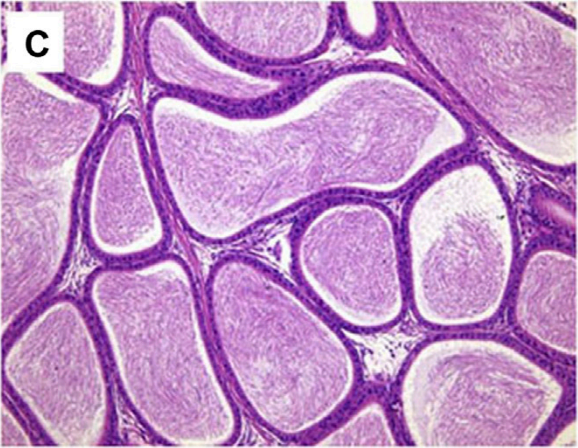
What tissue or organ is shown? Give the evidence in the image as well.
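Tubules lined by a single regular layer of columnar cells. Lumina are filled with dense pale pink masses of sperm. Thin connective tissue lies between the tubules.
Hence: epididymis.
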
